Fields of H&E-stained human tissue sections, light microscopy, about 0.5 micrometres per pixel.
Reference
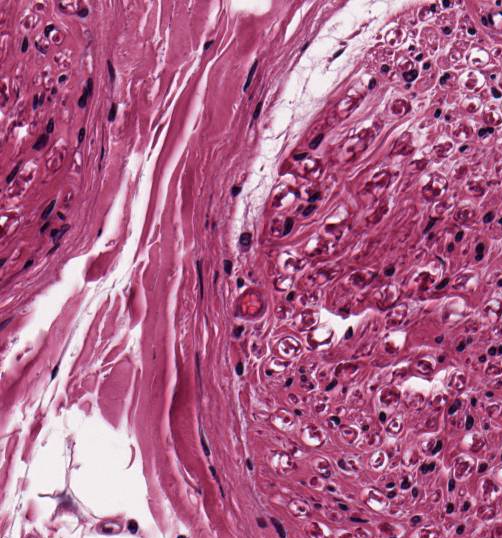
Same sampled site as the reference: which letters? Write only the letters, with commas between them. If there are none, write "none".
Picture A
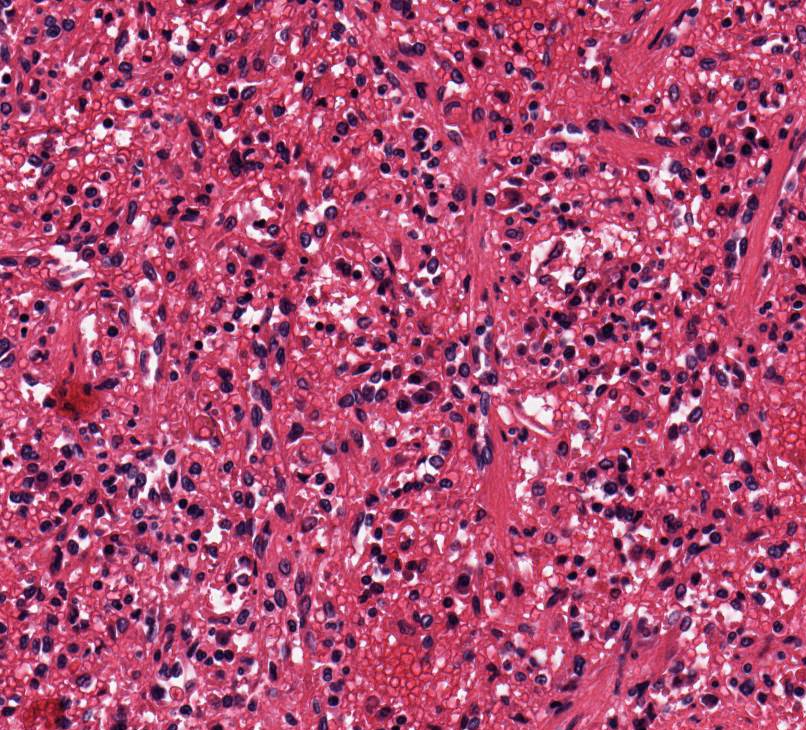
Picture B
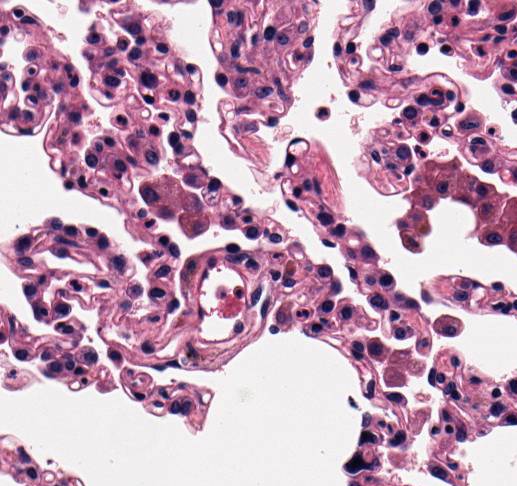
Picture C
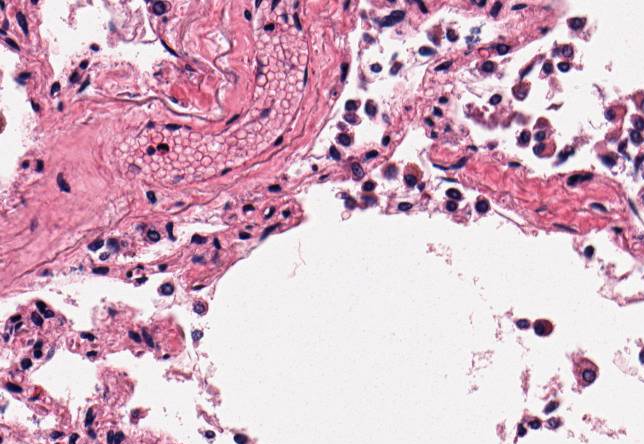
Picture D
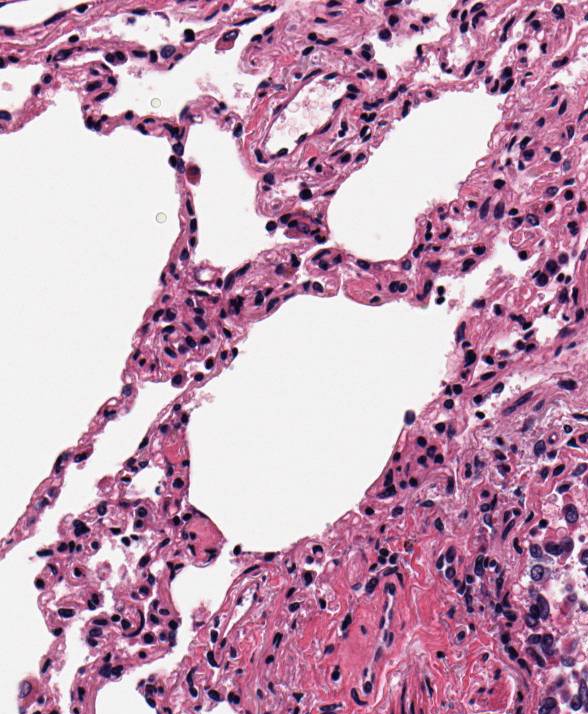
none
